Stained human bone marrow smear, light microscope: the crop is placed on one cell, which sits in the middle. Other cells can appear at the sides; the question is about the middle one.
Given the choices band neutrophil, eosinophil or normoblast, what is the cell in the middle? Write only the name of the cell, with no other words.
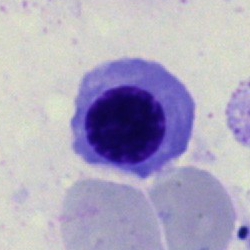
normoblast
